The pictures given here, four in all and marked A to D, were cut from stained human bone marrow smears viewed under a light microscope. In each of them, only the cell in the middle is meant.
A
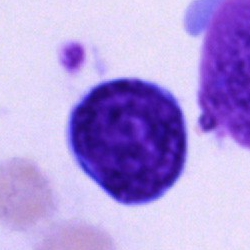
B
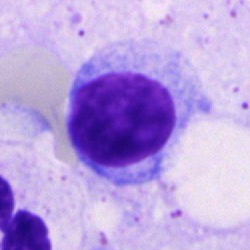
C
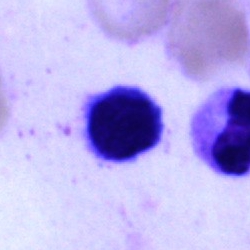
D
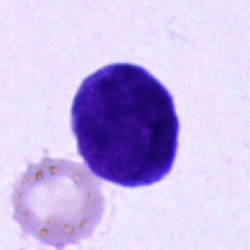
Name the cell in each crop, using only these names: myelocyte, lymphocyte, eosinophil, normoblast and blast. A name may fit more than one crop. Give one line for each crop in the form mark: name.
A: blast
B: lymphocyte
C: lymphocyte
D: blast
